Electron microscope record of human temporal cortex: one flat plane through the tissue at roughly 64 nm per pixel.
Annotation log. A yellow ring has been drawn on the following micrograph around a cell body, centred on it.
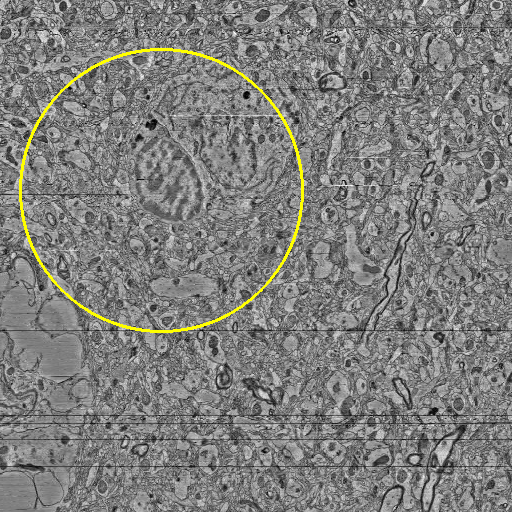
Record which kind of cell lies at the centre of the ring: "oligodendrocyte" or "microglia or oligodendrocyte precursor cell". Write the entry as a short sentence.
The cell the ring is centred on is an oligodendrocyte.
